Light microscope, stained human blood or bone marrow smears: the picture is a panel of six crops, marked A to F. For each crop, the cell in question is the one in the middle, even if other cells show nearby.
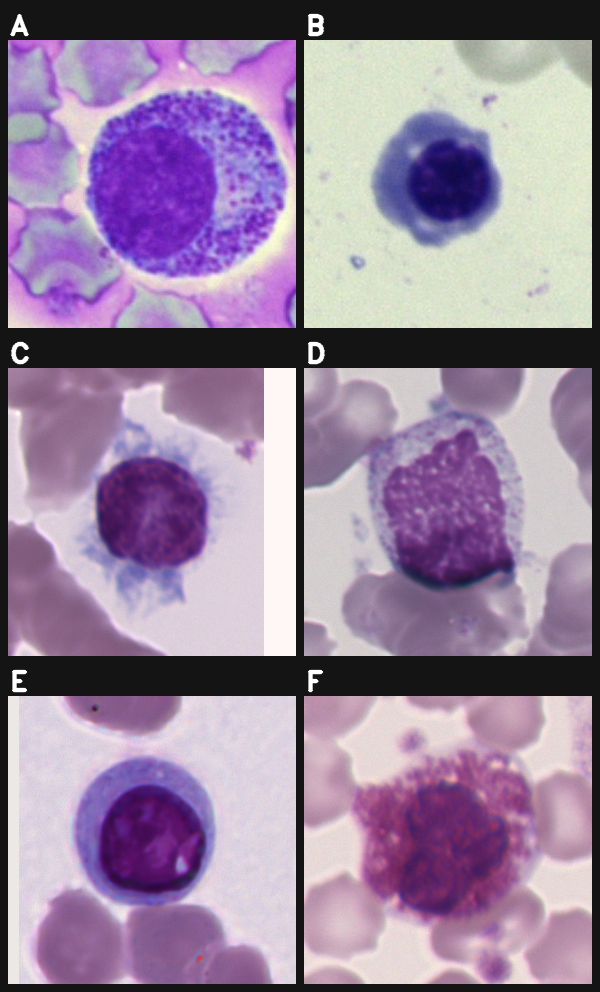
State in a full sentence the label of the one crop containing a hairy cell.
Crop C is the one depicting a hairy cell.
